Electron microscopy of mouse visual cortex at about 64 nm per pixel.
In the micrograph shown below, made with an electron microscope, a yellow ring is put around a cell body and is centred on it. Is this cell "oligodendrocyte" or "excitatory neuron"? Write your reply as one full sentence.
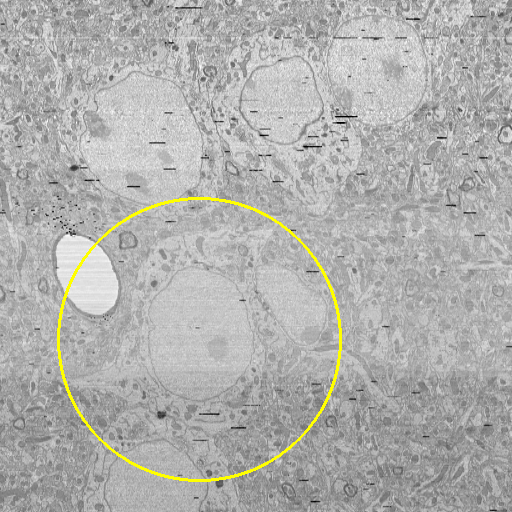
In the micrograph, an excitatory neuron is the cell at the centre of the yellow ring.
